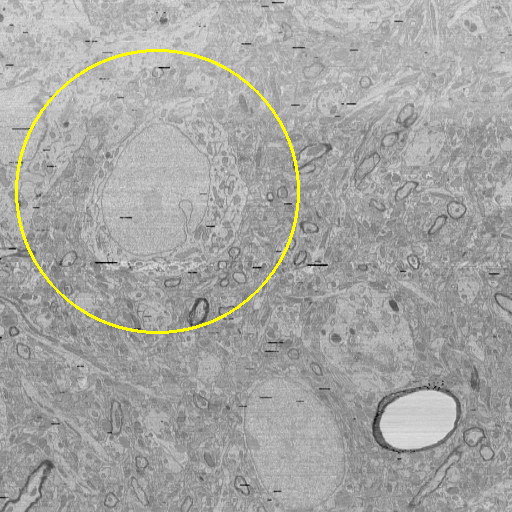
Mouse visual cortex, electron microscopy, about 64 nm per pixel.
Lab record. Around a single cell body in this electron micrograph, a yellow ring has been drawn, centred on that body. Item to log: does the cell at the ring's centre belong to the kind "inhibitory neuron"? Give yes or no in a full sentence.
Yes, in the micrograph, the ringed cell at the centre belongs to that kind.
